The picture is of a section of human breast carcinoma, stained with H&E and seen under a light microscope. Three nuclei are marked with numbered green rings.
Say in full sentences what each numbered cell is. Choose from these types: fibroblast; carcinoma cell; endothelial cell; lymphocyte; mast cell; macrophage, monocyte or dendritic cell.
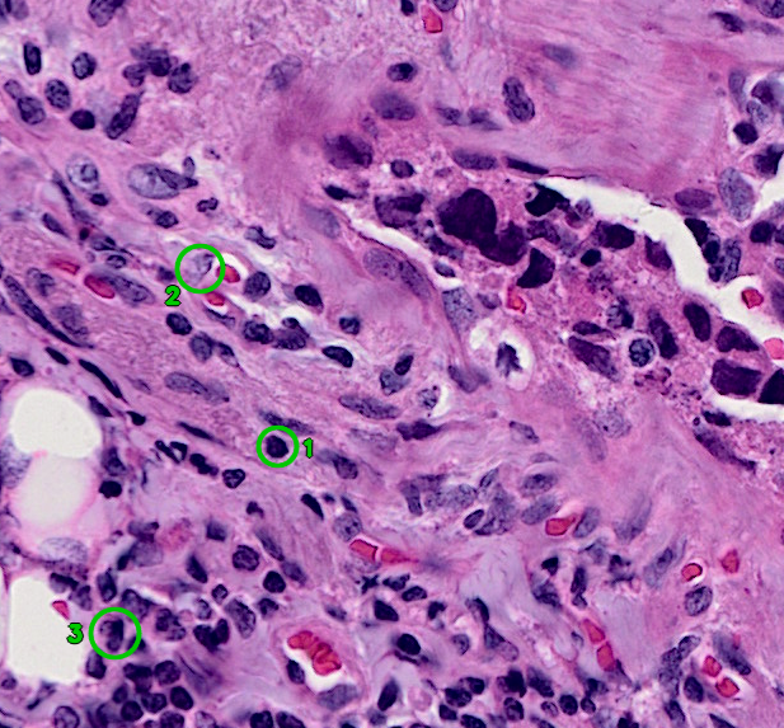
Cells 1 and 3 are lymphocytes. Cell 2 is an endothelial cell.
